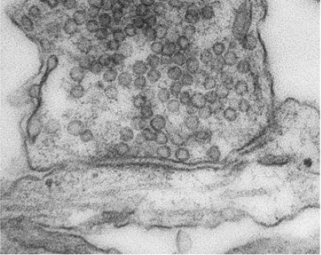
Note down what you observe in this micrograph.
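This electron micrograph shows a synaptic contact between neurons. A large presynaptic profile bounded by a membrane is densely filled with many small round clear vesicles. Along its lower edge it lies closely apposed to a neighbouring process, where the opposed membranes appear dark and thickened.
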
